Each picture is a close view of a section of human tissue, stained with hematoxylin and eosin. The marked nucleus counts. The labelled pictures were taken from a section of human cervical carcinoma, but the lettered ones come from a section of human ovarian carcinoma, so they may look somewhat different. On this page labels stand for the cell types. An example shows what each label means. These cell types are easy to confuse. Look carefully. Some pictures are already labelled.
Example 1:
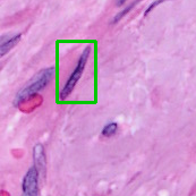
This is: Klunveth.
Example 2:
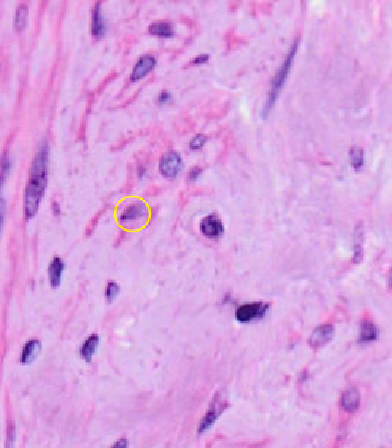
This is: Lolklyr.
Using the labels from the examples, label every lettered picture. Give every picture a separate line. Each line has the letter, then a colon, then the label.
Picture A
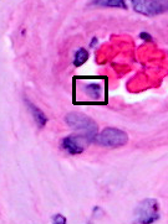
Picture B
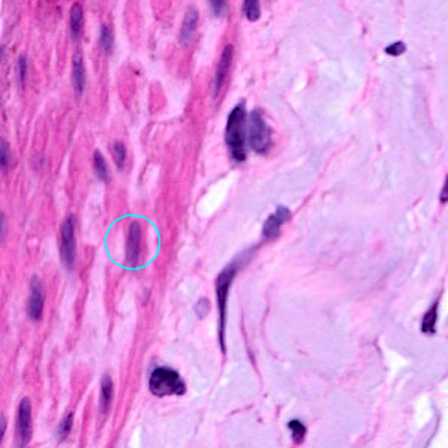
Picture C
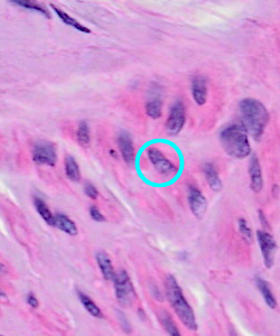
A: Klunveth.
B: Lolklyr.
C: Lolklyr.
